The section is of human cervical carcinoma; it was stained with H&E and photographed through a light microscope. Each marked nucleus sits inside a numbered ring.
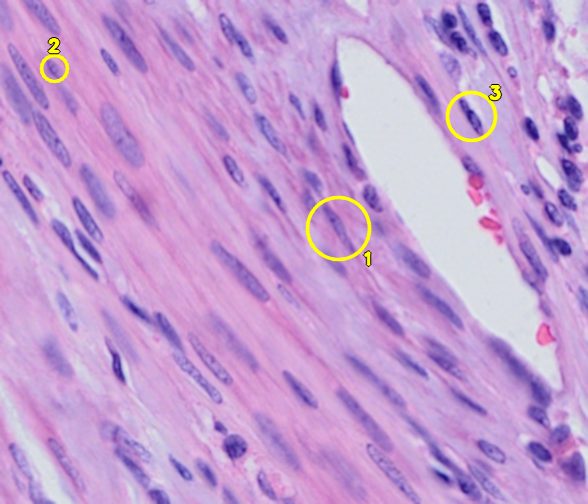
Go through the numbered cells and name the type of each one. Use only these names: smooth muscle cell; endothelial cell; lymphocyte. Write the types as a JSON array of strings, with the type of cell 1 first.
["smooth muscle cell", "smooth muscle cell", "lymphocyte"]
